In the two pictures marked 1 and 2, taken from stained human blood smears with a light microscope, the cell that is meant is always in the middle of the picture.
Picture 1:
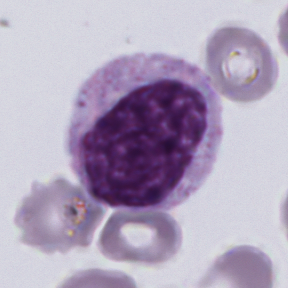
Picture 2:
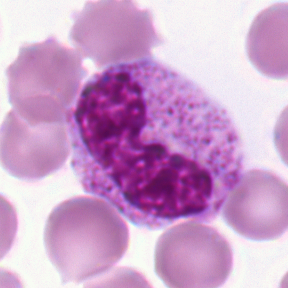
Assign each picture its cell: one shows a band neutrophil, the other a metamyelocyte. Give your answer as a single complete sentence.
It is picture 1 that shows a metamyelocyte, and picture 2 that shows a band neutrophil.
